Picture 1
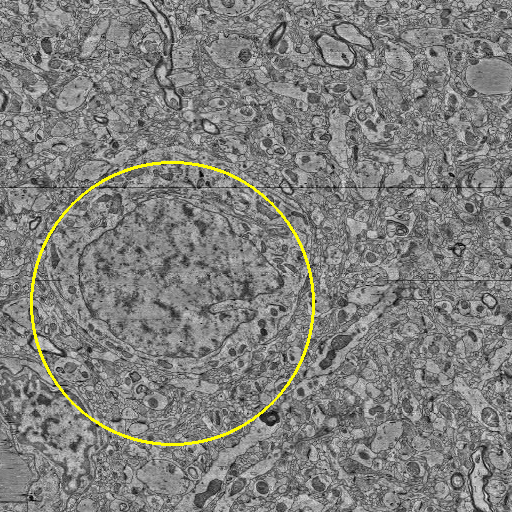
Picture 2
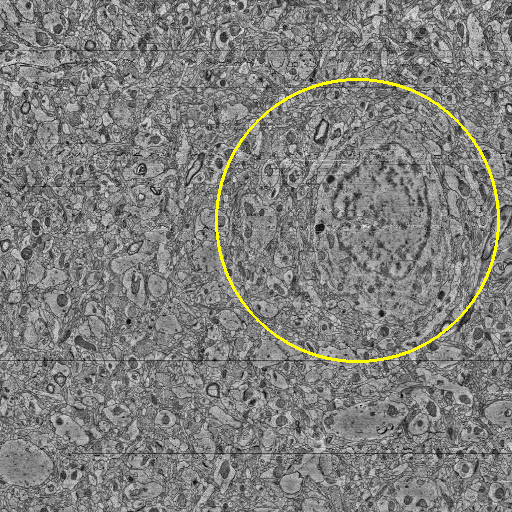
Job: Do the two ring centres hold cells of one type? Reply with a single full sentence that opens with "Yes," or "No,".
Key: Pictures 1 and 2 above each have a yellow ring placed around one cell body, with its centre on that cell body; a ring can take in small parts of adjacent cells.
Yes, the cells at the two ring centres are of one single type.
